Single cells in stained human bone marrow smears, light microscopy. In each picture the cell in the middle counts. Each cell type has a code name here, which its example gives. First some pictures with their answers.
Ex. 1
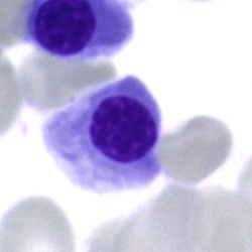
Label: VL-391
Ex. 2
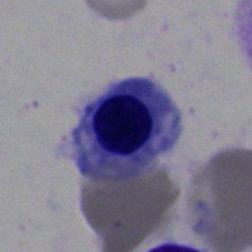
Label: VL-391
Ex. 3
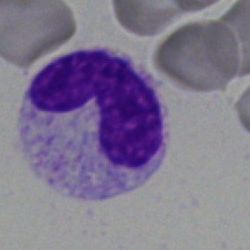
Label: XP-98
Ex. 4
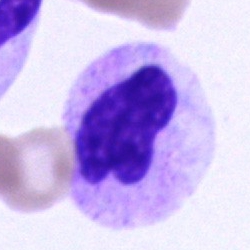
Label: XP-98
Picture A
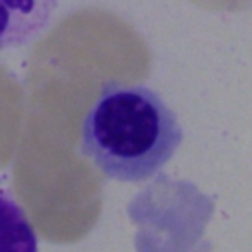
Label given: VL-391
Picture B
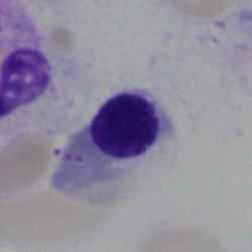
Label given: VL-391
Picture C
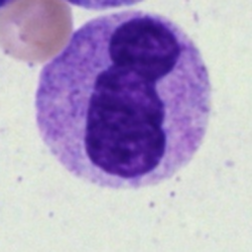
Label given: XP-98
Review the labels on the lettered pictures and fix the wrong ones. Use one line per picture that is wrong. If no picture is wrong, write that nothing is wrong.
All correct.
